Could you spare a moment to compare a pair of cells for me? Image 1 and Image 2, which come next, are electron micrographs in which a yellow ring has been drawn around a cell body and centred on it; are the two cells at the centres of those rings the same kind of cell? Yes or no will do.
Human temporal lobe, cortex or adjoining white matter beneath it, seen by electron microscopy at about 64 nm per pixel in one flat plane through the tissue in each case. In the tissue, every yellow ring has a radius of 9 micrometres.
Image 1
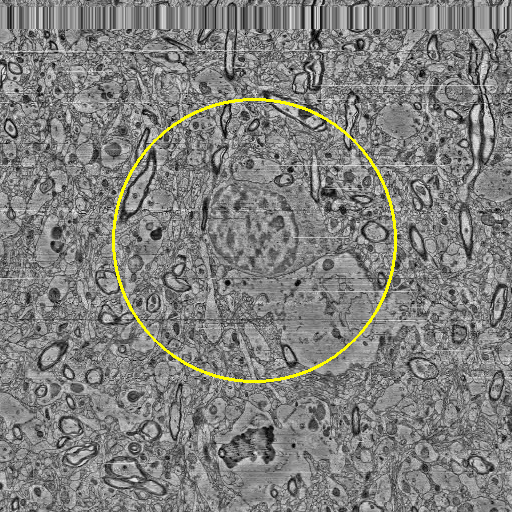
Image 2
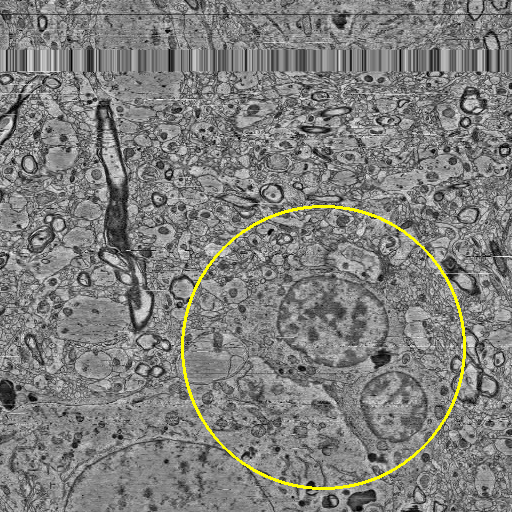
yes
